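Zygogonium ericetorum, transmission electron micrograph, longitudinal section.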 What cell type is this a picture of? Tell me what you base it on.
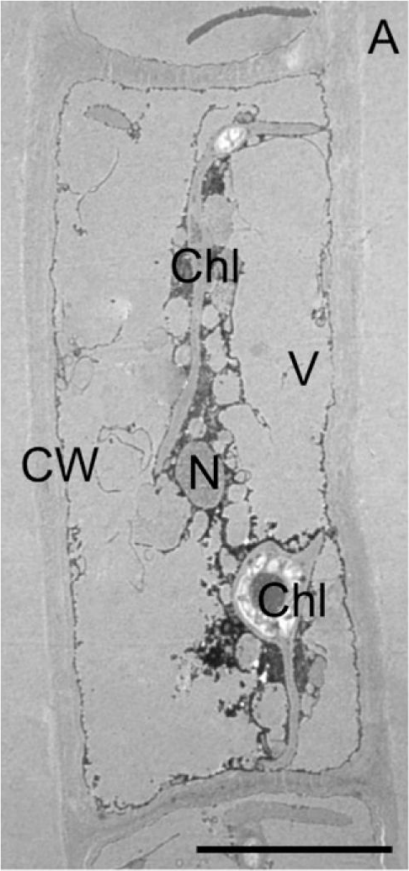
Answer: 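An elongate cell bounded by a thick wall, with cross walls of neighbouring cells at top and bottom. A large vacuole fills most of the cell. A central cytoplasmic strand holds two chloroplasts and a nucleus.
Answer: vegetative cell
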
